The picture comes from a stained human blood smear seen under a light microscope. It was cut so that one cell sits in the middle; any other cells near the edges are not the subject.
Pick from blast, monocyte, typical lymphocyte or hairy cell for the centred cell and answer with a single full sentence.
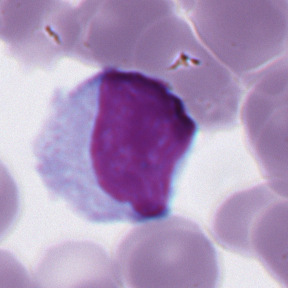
On this slide crop, the central cell is a typical lymphocyte.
